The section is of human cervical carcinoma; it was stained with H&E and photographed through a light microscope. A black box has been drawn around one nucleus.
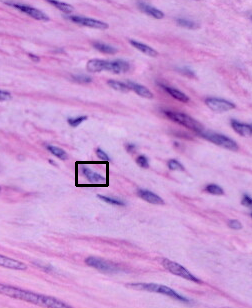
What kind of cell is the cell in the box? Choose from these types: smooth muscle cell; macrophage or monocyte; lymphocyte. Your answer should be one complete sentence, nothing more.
In this preparation, the cell in the box is a smooth muscle cell.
